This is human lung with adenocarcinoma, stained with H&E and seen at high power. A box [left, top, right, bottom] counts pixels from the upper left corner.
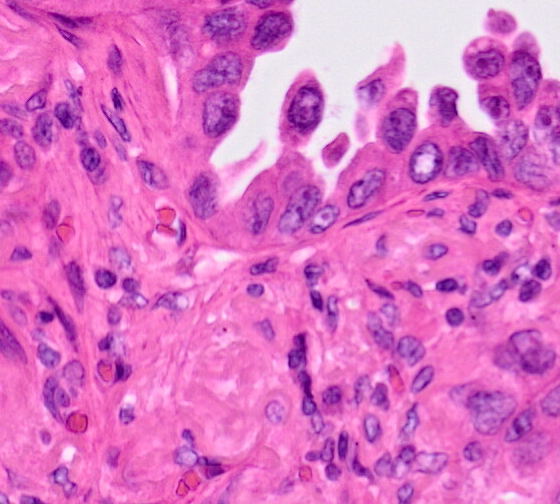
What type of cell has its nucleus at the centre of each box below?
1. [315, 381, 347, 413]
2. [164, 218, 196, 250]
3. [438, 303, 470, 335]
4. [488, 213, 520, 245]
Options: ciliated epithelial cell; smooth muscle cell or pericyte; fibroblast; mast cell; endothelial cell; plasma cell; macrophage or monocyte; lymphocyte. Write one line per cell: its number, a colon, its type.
1: plasma cell
2: endothelial cell
3: lymphocyte
4: lymphocyte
